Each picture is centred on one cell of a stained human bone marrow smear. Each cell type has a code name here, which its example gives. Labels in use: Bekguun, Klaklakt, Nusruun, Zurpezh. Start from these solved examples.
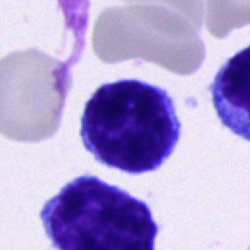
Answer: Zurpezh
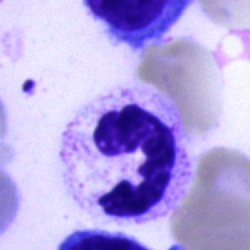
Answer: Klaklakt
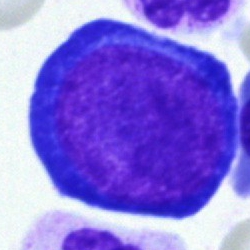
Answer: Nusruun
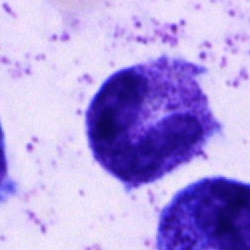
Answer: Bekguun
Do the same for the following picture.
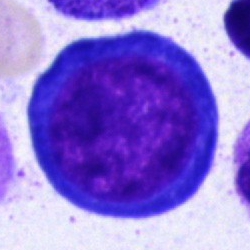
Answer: Nusruun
